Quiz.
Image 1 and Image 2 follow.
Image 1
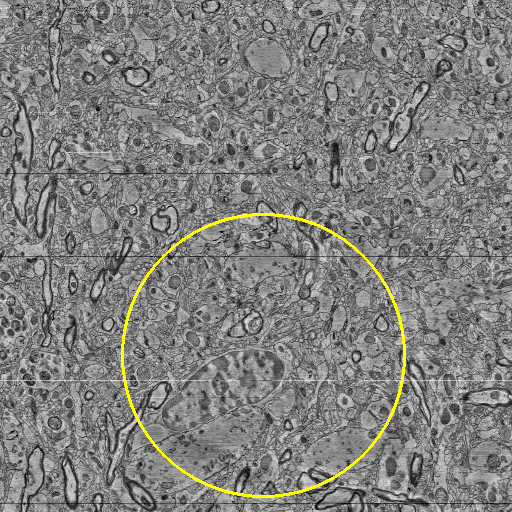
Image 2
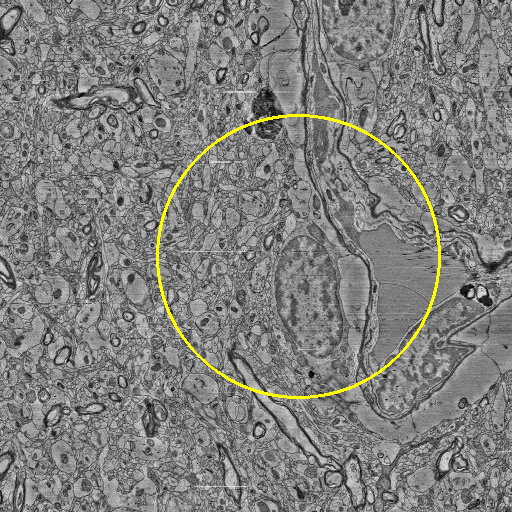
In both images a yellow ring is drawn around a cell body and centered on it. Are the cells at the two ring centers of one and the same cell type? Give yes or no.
no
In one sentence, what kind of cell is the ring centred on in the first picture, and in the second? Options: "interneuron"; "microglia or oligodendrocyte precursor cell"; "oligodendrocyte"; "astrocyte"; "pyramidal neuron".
The cell at the centre of the second ring is an oligodendrocyte; the first ring's cell is a microglial cell or oligodendrocyte precursor cell.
